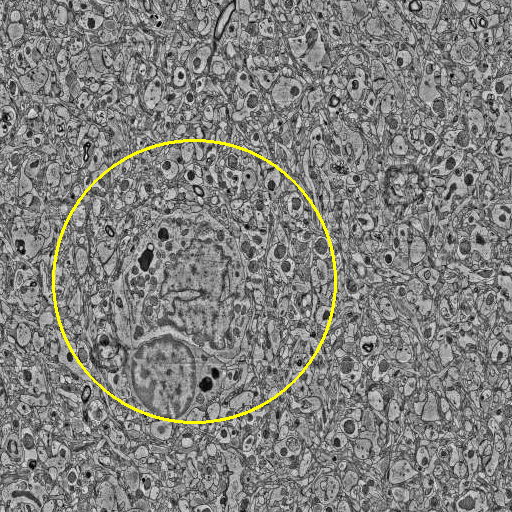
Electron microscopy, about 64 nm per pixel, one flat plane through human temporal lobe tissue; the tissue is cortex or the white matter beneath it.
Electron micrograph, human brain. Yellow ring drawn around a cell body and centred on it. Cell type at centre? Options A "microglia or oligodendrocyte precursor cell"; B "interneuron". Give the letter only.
B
